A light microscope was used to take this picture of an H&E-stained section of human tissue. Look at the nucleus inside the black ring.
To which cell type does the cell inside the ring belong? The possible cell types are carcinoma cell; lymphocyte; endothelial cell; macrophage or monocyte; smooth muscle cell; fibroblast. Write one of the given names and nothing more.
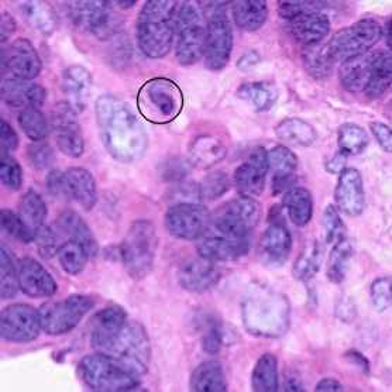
macrophage or monocyte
